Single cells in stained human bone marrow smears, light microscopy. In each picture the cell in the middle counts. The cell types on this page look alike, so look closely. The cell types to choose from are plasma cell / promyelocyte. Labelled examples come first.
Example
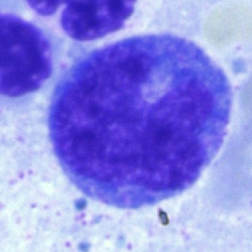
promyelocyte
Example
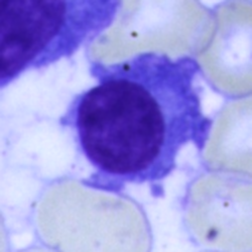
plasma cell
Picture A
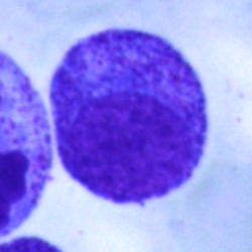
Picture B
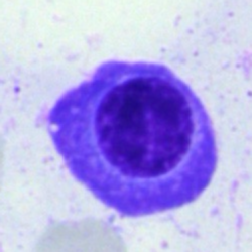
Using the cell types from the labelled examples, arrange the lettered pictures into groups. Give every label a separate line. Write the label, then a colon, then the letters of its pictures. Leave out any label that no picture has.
plasma cell: B
promyelocyte: A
